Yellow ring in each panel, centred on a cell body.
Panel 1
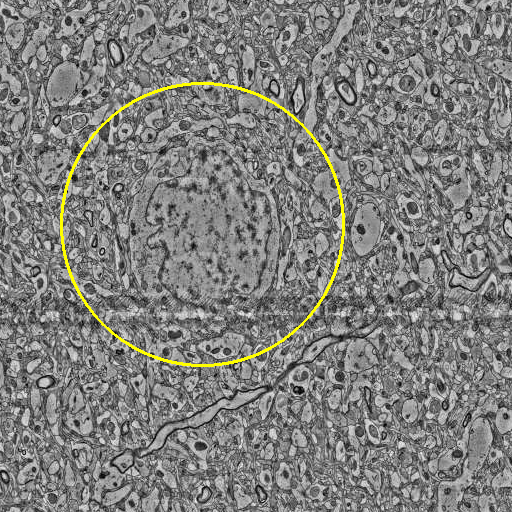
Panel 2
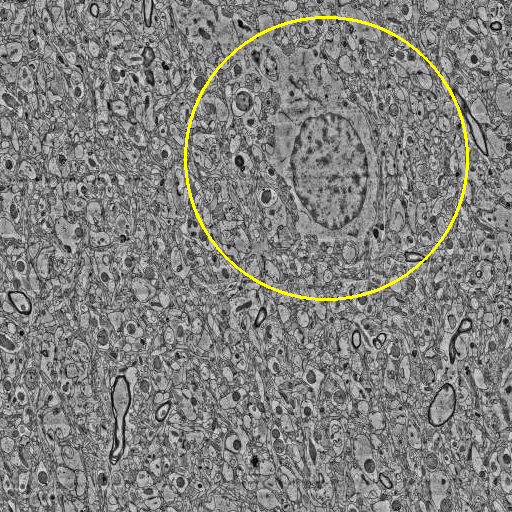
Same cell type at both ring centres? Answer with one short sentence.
No, the two cells are of two types.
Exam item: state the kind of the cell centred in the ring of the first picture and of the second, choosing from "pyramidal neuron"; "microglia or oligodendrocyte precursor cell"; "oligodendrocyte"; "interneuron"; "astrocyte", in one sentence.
The first picture shows an interneuron at the ring centre and the second shows an astrocyte.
